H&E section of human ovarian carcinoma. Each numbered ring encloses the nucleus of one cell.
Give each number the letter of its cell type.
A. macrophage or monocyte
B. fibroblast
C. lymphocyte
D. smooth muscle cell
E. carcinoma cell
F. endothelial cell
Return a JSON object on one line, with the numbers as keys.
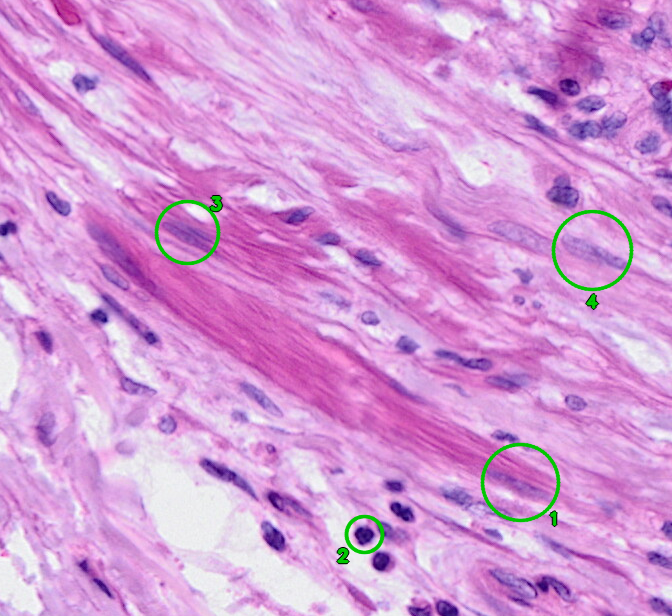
{"1": "D", "2": "C", "3": "D", "4": "B"}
